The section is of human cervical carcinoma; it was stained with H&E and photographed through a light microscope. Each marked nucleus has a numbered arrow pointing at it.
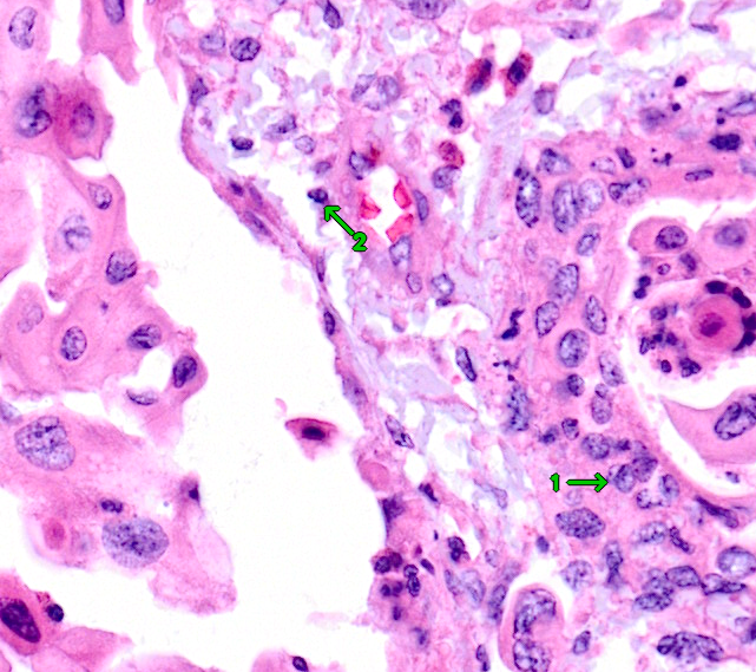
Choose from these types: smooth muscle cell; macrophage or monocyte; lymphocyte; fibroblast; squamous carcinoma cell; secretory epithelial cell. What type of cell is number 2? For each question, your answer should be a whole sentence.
Number 2 among the marked cells is a lymphocyte.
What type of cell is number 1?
The cell identified by the number 1 is a squamous carcinoma cell.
